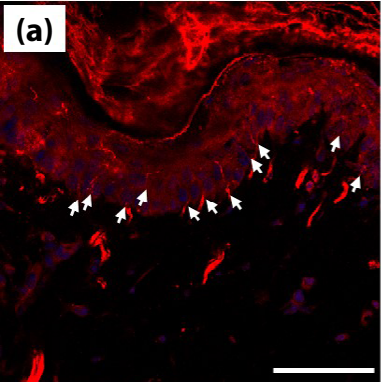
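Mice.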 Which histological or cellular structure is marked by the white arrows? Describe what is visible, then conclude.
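The arrows sit along the lower edge of a cell layer with faint blue nuclei. They point to short, thin red threads entering that layer.
Answer: intraepidermal nerve fibers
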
